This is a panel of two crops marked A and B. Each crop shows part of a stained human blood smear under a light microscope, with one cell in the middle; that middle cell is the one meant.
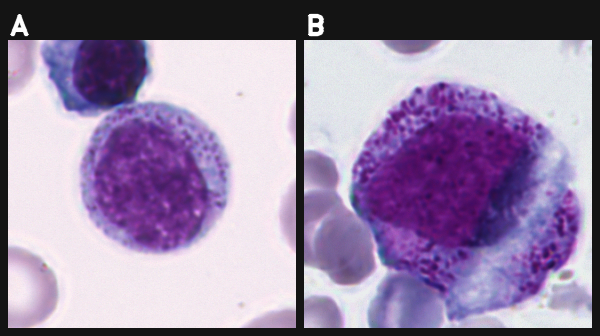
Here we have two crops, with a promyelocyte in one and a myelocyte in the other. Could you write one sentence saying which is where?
In short, crop A is a myelocyte and crop B is a promyelocyte.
